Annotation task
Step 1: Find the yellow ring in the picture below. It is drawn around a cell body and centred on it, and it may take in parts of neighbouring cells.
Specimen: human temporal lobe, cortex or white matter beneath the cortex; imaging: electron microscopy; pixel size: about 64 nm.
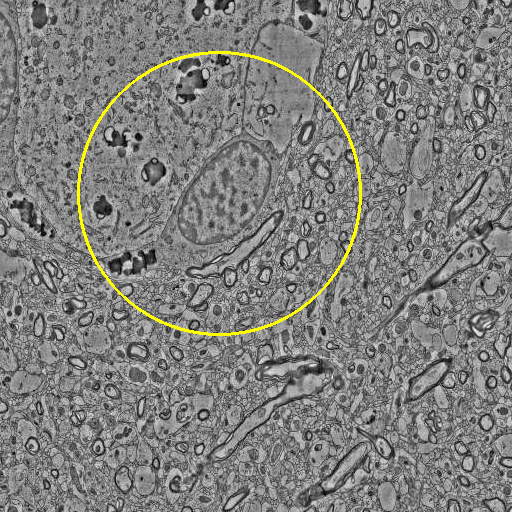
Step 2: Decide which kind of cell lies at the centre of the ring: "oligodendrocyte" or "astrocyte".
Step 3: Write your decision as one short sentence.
The kind of cell at the ring's centre is an oligodendrocyte.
